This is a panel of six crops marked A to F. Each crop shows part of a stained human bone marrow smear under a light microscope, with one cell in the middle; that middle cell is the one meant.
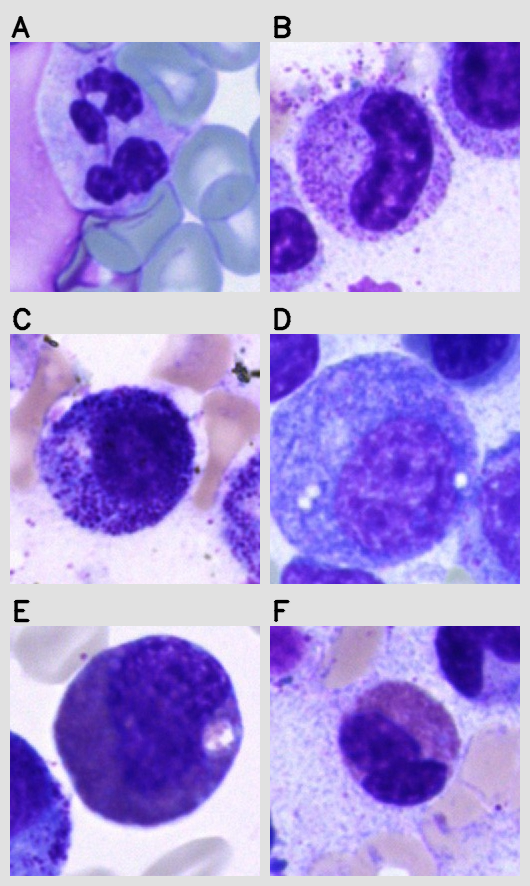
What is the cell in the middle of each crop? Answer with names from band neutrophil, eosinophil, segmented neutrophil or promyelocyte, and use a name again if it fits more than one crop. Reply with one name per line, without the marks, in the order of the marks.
segmented neutrophil
band neutrophil
promyelocyte
promyelocyte
eosinophil
eosinophil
